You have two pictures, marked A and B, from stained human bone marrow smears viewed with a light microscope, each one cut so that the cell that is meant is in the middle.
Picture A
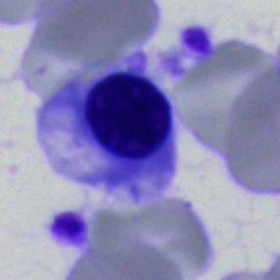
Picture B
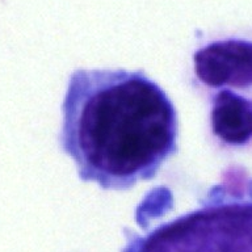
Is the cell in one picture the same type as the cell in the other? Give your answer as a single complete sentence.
Yes, they are the same type: both are erythroblasts.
